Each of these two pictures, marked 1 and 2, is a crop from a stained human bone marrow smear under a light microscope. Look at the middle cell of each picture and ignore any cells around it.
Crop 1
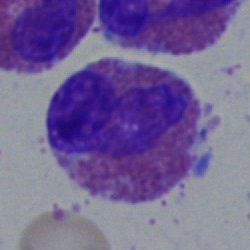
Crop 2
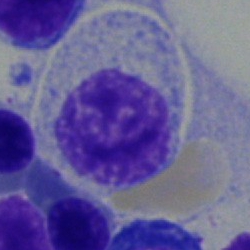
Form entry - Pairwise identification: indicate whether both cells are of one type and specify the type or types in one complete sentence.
No, an eosinophil is centred in crop 1, and a myelocyte is centred in crop 2.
